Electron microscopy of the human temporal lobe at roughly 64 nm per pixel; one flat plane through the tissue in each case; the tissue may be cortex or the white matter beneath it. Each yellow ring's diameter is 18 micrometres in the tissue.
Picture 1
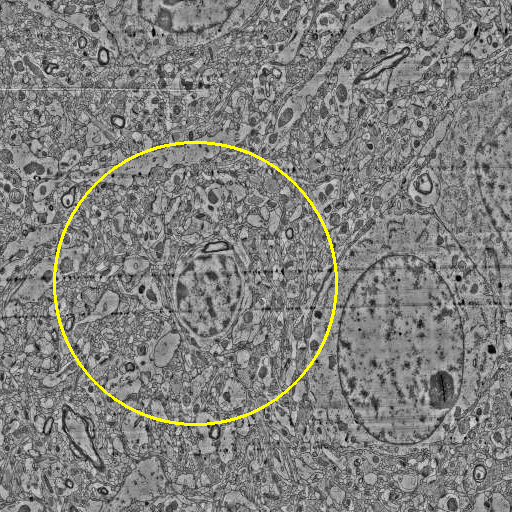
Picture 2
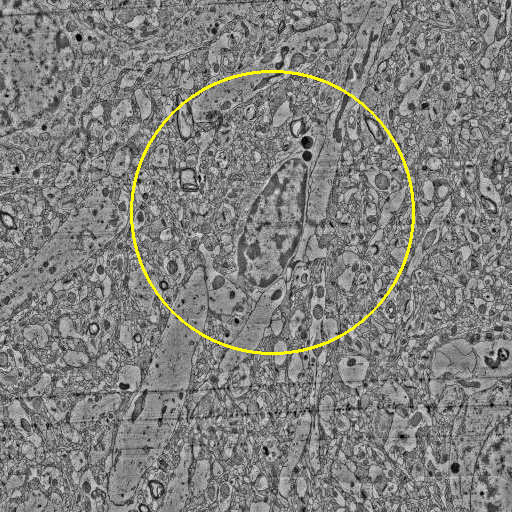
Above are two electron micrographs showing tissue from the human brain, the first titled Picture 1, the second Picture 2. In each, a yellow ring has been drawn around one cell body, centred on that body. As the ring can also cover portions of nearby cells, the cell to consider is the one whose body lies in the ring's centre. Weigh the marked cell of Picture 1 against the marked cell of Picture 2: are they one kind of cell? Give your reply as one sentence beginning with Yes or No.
Yes, the two cells sitting at the ring centres in the pictures are of one kind.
